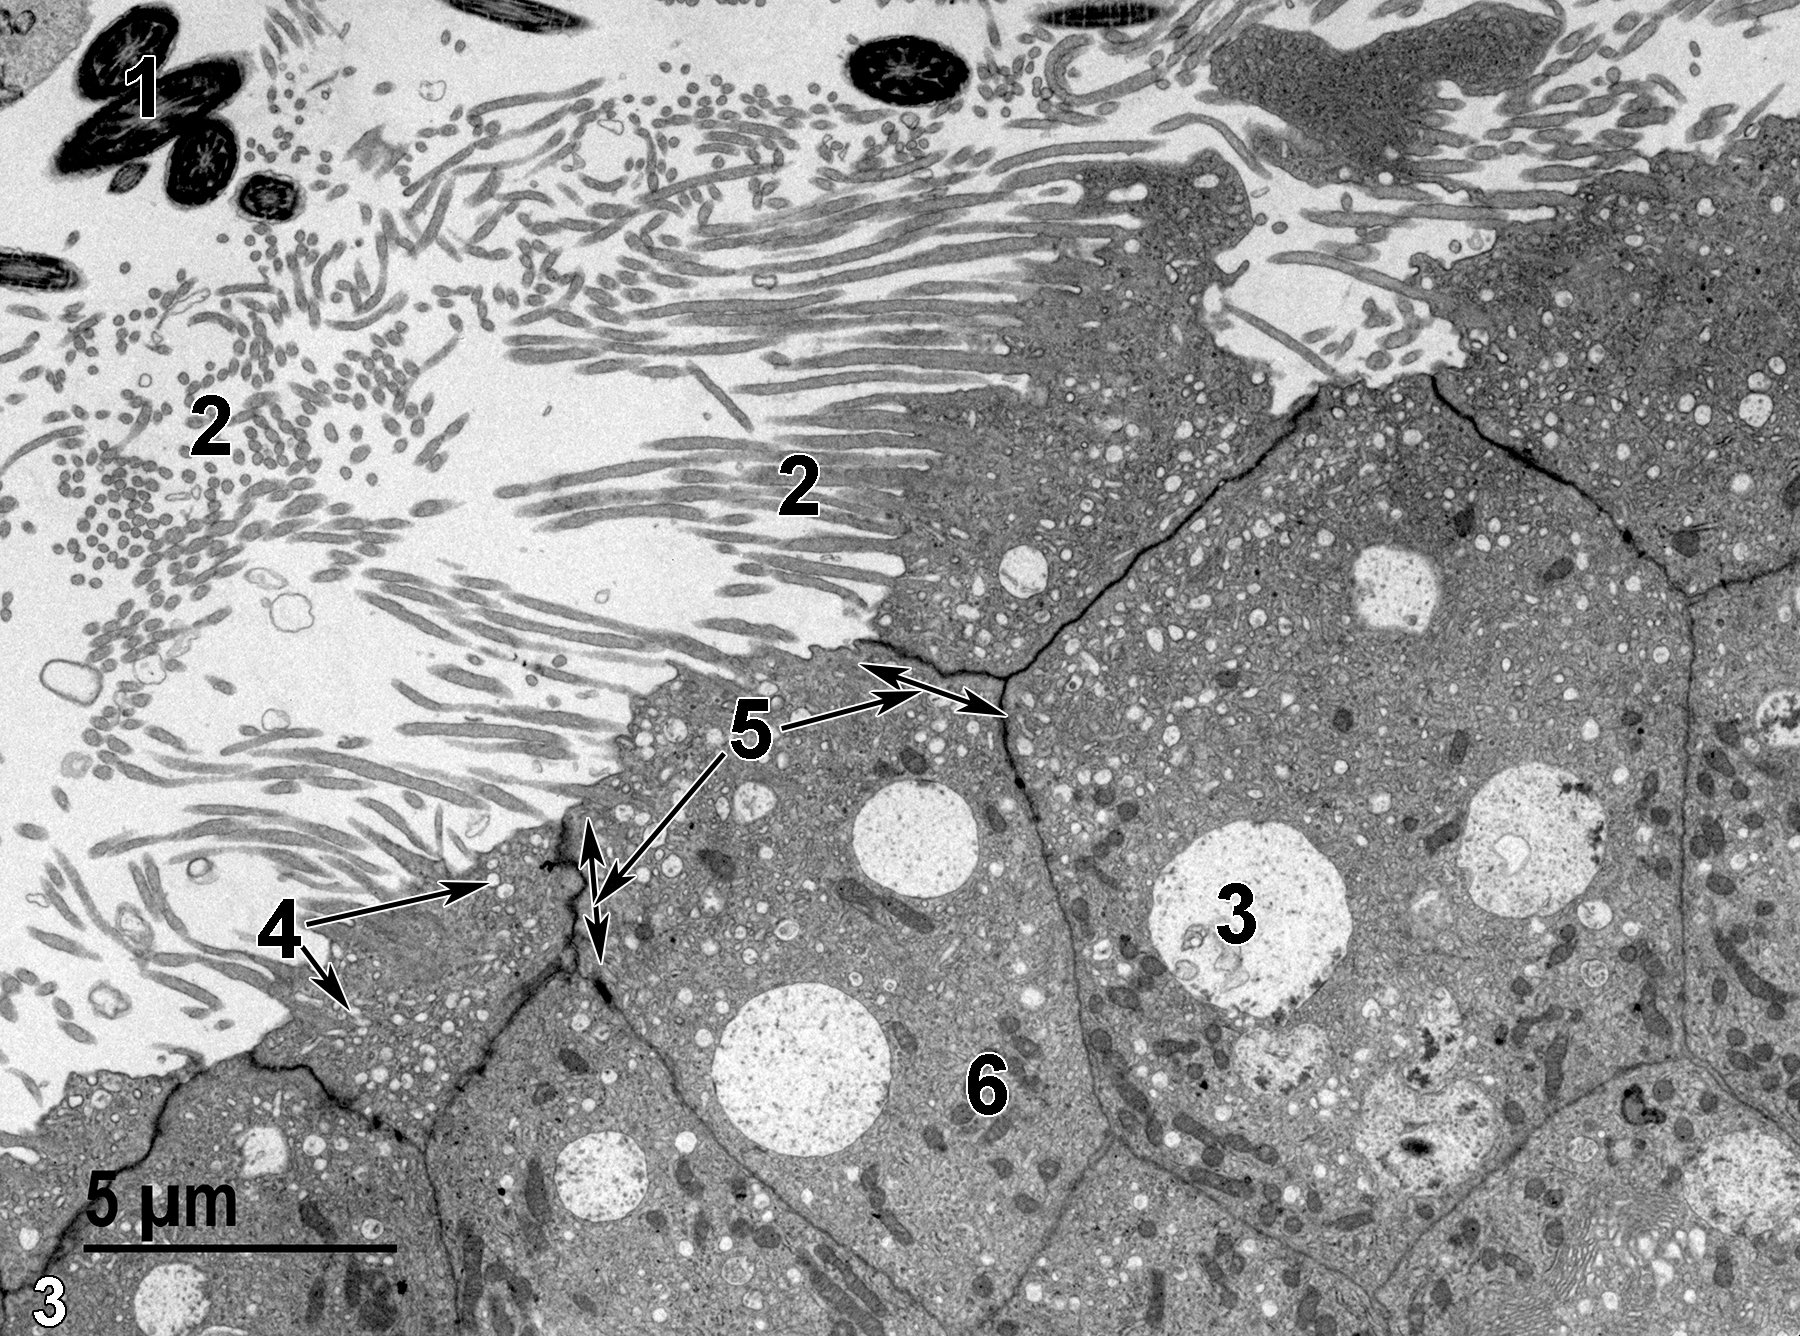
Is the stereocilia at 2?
Yes, 2 marks the stereocilia.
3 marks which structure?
Large vacuoles.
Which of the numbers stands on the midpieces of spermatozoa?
The midpieces of spermatozoa: 1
